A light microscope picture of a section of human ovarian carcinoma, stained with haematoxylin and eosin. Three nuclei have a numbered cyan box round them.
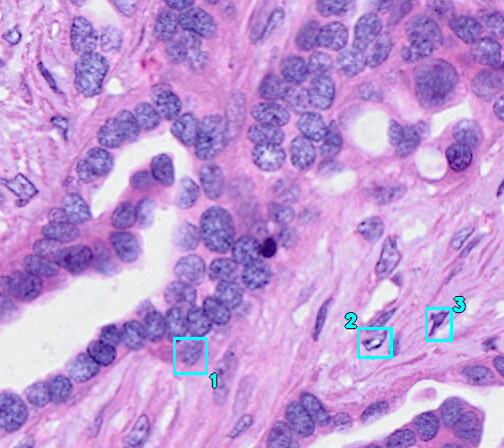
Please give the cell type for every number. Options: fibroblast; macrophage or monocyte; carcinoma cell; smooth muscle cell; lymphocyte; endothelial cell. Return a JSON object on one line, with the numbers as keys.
{"1": "carcinoma cell", "2": "fibroblast", "3": "fibroblast"}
